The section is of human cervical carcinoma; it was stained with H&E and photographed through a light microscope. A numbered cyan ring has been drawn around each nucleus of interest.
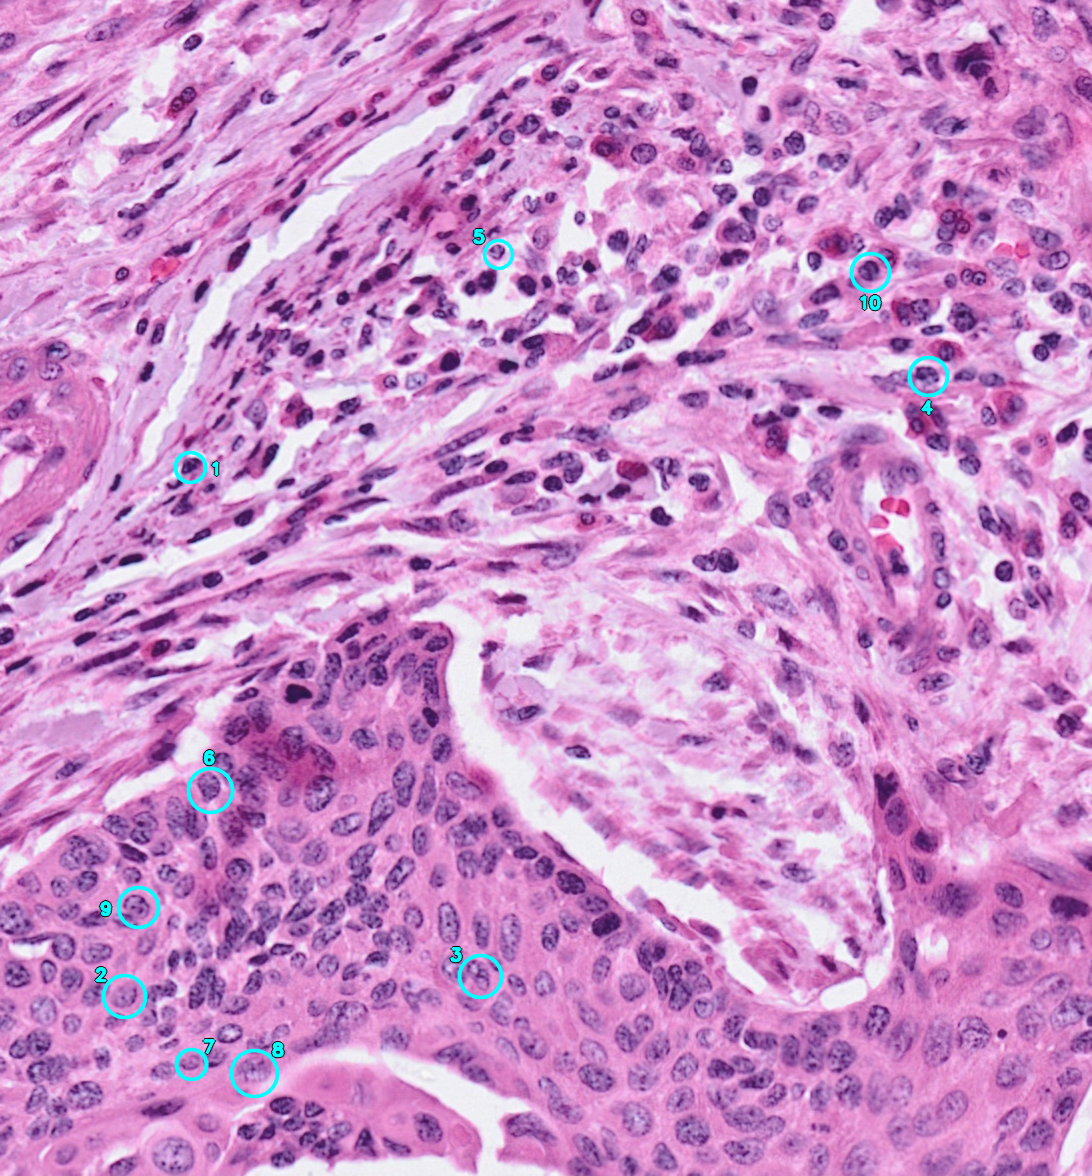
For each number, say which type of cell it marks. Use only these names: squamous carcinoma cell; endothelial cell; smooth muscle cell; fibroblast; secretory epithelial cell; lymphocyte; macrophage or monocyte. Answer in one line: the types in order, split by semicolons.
lymphocyte; squamous carcinoma cell; squamous carcinoma cell; lymphocyte; lymphocyte; squamous carcinoma cell; squamous carcinoma cell; squamous carcinoma cell; squamous carcinoma cell; lymphocyte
